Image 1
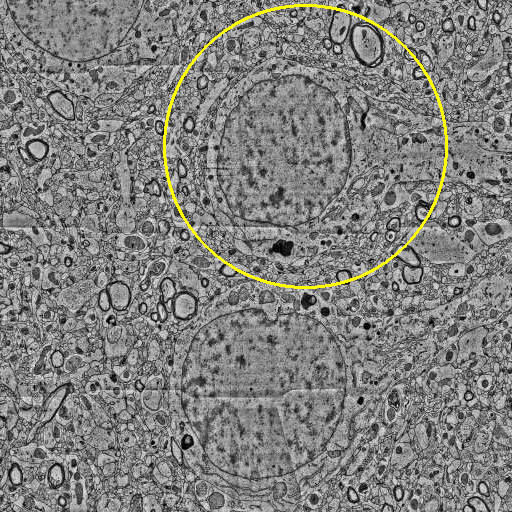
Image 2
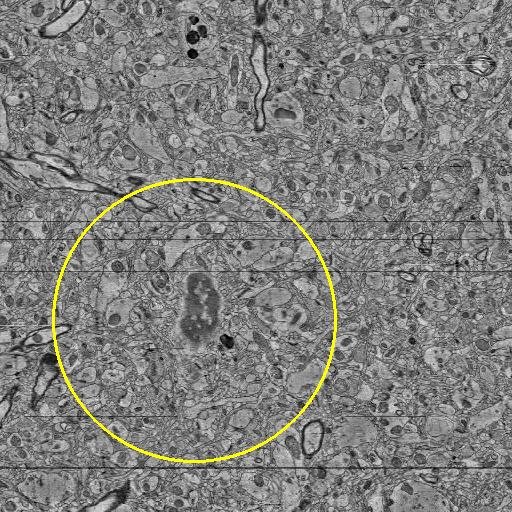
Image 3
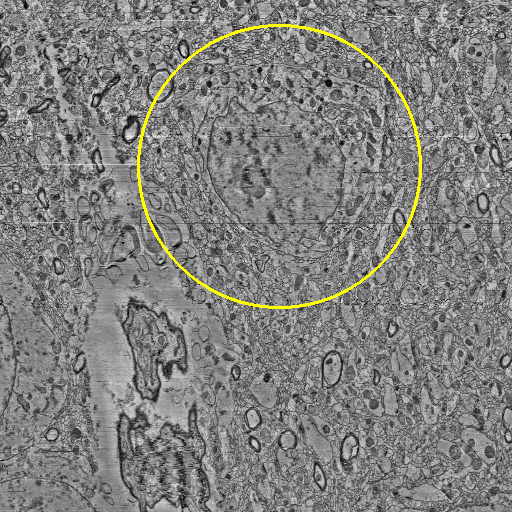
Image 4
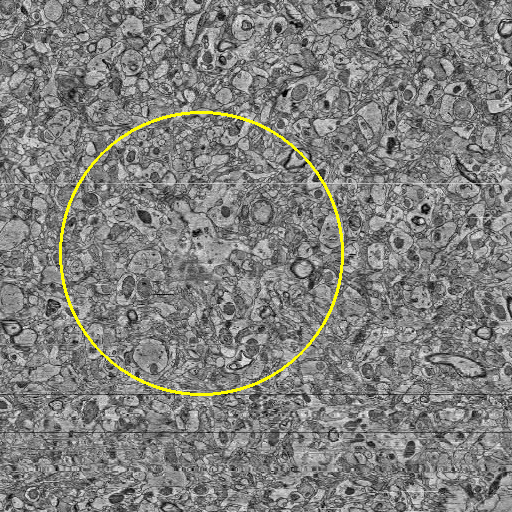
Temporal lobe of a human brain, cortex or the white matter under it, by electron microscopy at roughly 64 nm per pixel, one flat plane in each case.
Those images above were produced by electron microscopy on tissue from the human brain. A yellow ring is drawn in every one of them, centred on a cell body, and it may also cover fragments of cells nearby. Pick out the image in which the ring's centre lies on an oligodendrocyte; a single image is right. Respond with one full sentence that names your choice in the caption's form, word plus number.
Image 4 is my choice: its ring is centred on the requested cell.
